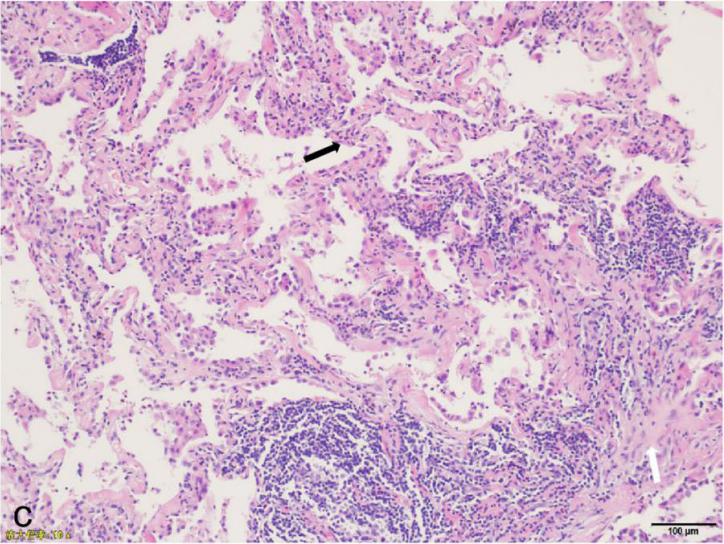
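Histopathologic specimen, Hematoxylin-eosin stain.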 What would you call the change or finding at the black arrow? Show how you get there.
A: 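The wall beside the arrow tip is broader than a thin alveolar wall. The thickened wall holds pink fibrous tissue and scattered nuclei. Open air spaces lie on either side of the wall.
Alveolar septum thickening.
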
